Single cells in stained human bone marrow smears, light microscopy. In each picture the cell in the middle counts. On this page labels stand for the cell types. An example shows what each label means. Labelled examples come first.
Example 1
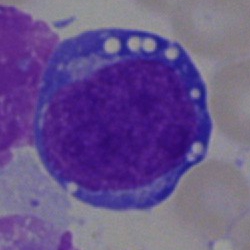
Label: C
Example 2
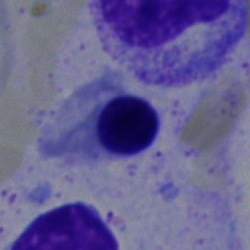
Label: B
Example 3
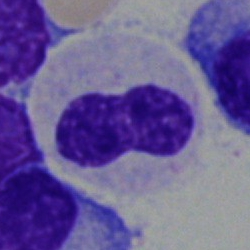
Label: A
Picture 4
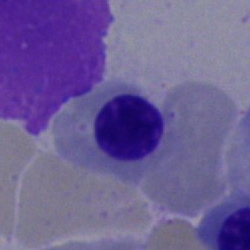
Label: B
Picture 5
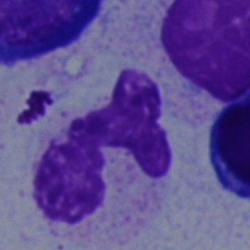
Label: A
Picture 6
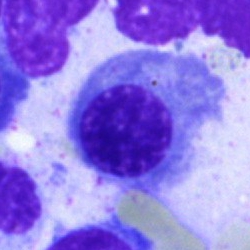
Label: B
